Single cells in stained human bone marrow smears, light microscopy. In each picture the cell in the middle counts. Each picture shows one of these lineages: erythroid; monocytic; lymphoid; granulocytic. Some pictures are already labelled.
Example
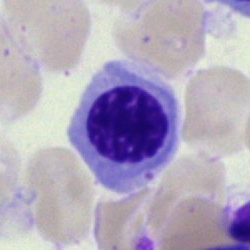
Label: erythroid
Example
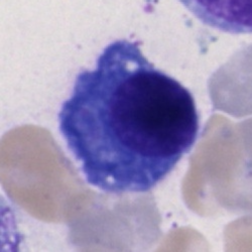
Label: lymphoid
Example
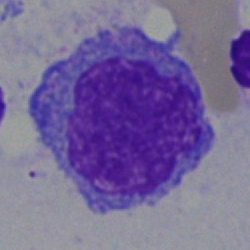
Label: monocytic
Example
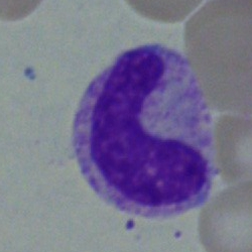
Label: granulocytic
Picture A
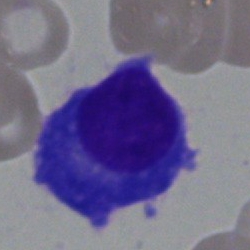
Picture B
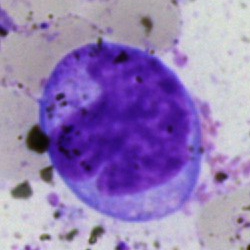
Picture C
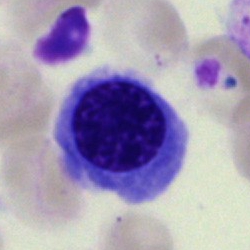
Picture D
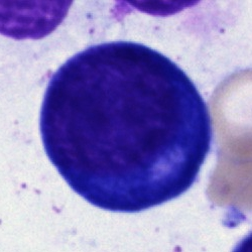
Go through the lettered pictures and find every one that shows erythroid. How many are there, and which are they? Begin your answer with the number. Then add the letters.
Count: 2 (C, D)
